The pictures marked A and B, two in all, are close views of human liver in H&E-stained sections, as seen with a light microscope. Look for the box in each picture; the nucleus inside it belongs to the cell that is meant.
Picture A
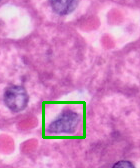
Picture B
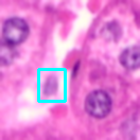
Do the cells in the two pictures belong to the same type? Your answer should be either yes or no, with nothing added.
yes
